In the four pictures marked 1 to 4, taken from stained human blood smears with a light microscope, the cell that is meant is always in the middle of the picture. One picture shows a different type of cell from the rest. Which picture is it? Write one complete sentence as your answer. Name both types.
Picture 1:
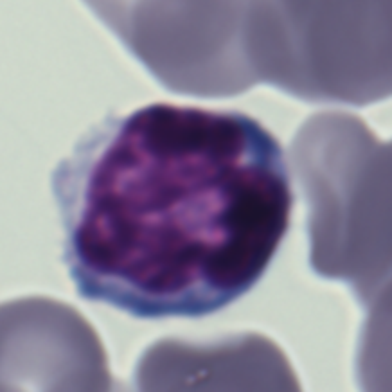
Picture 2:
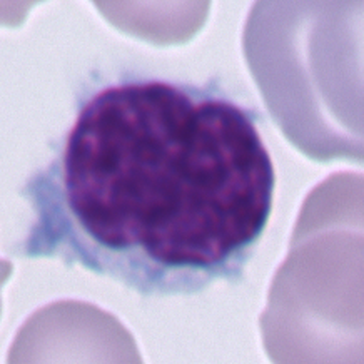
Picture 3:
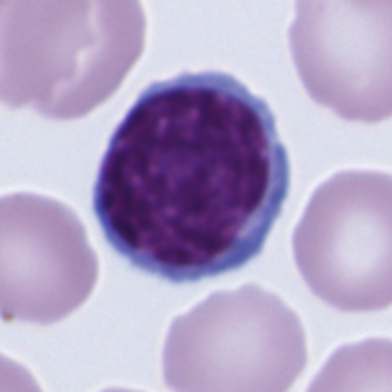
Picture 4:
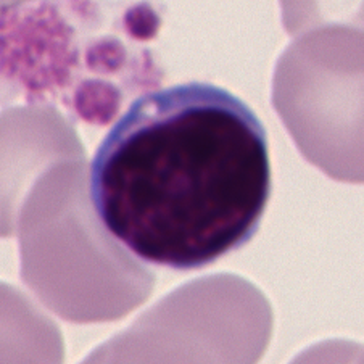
Picture 2 differs, because its cell is a hairy cell and the rest are typical lymphocytes.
